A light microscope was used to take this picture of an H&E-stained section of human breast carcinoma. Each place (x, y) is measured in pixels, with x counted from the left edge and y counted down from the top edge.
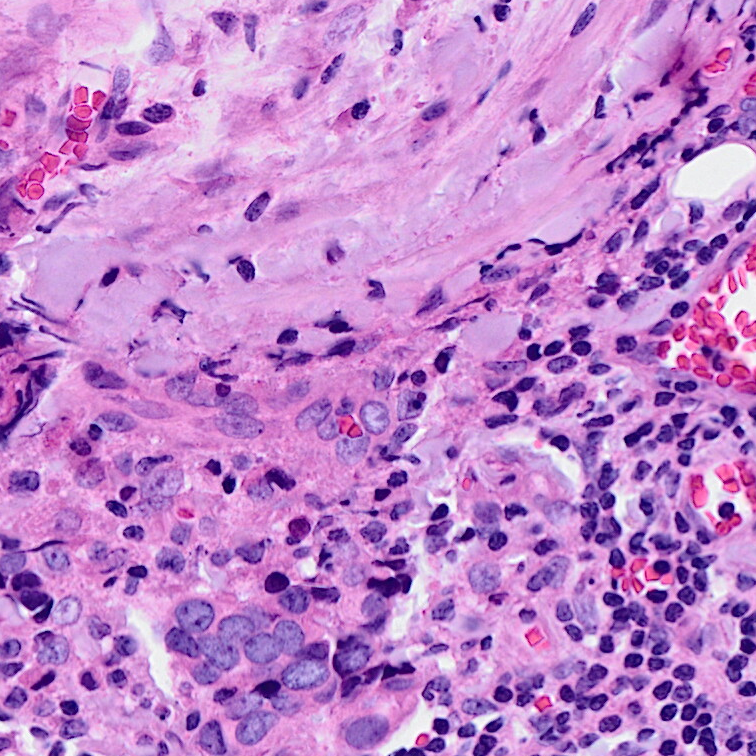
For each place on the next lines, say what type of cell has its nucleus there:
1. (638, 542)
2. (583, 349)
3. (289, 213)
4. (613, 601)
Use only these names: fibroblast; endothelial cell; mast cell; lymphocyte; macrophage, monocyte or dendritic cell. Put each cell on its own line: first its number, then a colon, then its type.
1: lymphocyte
2: lymphocyte
3: fibroblast
4: lymphocyte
